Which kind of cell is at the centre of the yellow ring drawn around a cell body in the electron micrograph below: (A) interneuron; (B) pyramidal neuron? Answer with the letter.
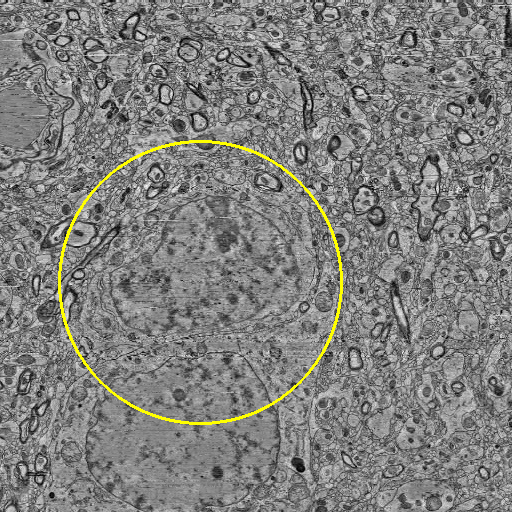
A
